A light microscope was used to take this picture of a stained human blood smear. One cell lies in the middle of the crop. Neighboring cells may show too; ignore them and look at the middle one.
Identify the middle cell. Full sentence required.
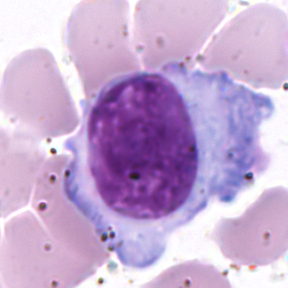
In the centre of this crop there is a plasma cell.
